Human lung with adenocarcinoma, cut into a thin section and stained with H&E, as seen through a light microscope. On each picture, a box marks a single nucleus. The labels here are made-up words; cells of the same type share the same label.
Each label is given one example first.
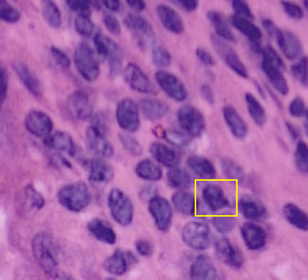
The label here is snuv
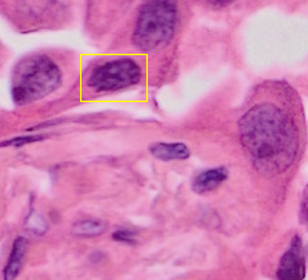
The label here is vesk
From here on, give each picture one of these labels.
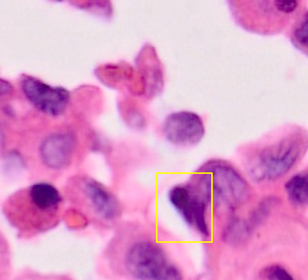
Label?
vesk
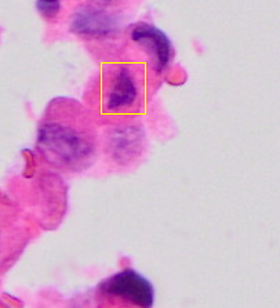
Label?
vesk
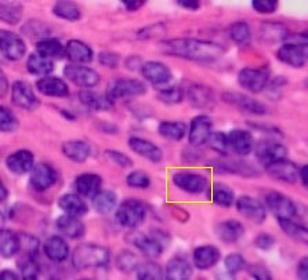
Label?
snuv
